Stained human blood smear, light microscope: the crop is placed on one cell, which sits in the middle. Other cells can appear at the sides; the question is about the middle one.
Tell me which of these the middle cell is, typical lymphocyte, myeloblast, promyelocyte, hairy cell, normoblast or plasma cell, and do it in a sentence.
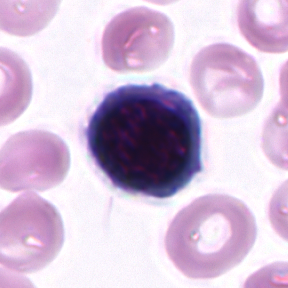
In the middle of this smear crop is a normoblast.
